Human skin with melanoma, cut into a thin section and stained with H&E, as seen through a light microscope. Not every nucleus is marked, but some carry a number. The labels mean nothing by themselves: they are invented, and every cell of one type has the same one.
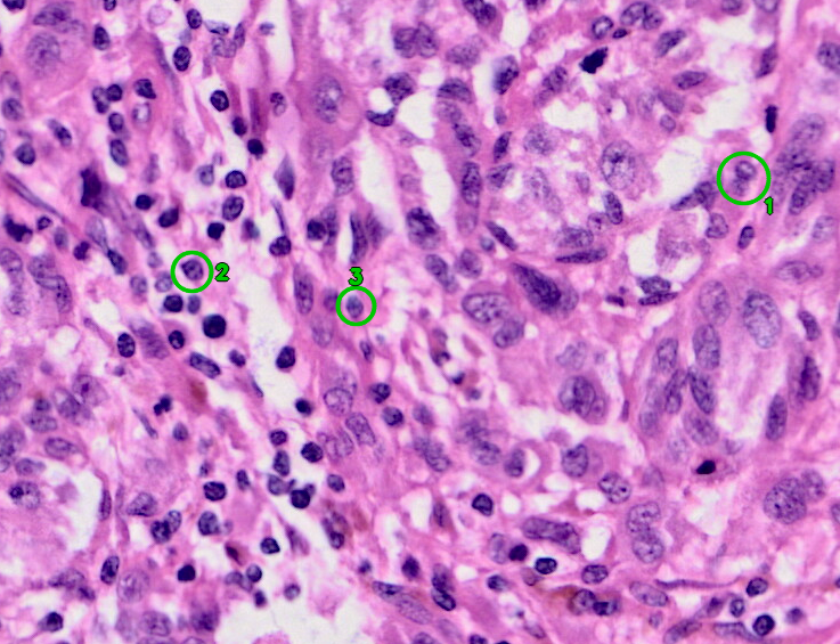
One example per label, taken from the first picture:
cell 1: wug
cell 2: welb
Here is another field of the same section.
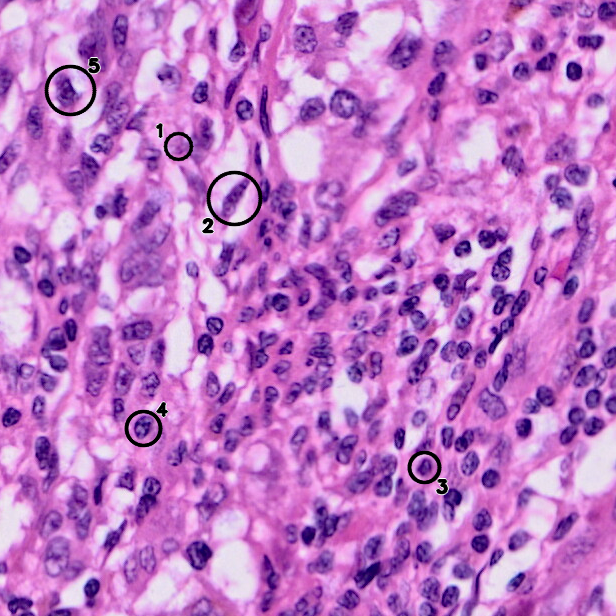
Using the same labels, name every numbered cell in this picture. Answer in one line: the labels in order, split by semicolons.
wug; wug; welb; welb; wug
